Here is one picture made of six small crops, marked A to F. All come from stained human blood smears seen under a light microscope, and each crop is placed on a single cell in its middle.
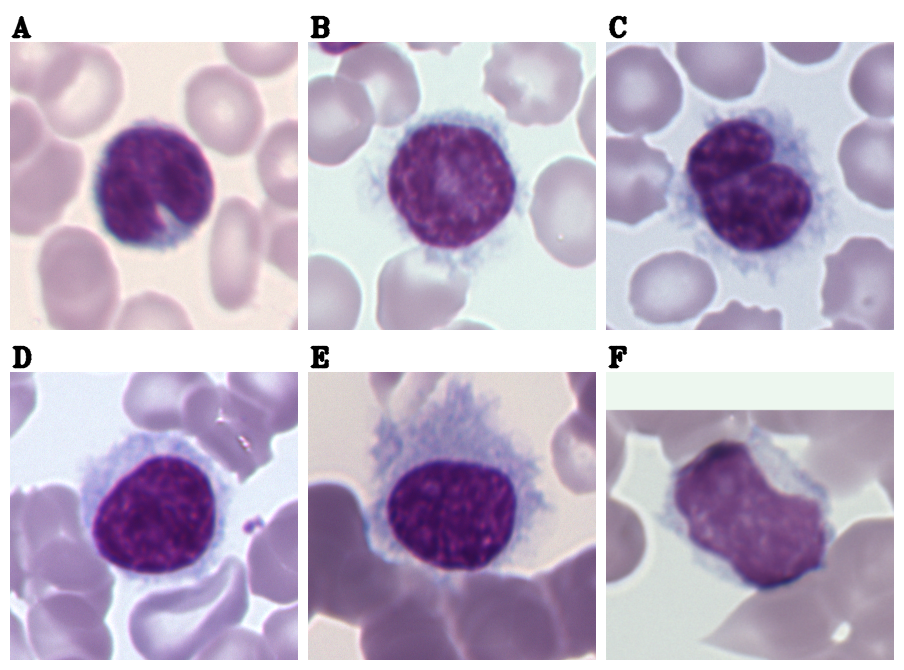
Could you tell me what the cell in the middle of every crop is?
A: typical lymphocyte
B: hairy cell
C: hairy cell
D: hairy cell
E: hairy cell
F: typical lymphocyte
